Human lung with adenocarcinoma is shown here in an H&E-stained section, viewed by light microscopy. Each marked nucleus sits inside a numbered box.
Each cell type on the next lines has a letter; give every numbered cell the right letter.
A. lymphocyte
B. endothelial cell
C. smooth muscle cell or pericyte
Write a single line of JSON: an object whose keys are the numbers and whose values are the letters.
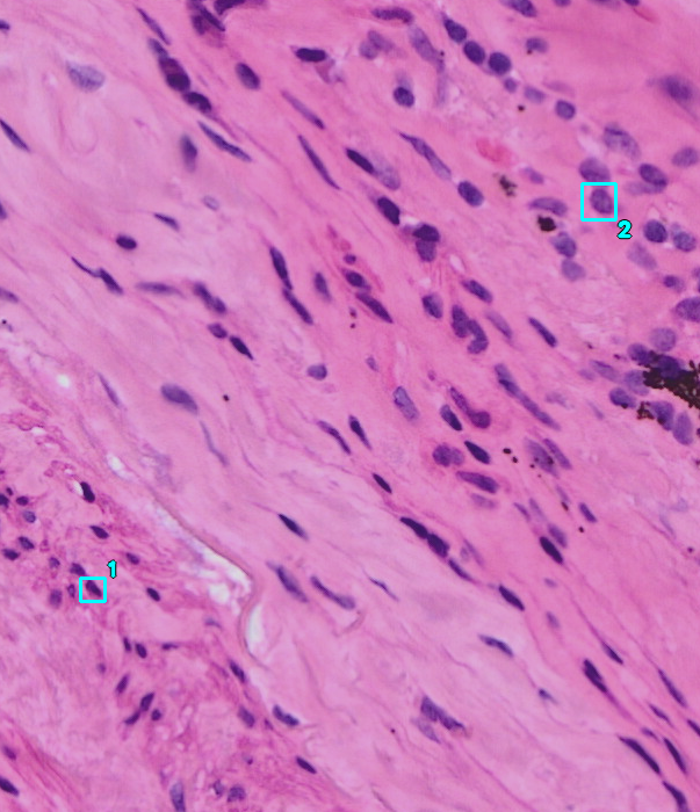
{"1": "C", "2": "A"}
